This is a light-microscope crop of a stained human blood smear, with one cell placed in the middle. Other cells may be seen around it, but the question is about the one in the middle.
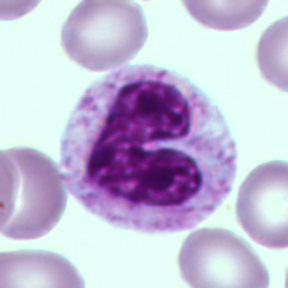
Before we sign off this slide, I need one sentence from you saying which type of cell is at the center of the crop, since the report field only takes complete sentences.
Of the cells in this crop, the central one is a band neutrophil.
